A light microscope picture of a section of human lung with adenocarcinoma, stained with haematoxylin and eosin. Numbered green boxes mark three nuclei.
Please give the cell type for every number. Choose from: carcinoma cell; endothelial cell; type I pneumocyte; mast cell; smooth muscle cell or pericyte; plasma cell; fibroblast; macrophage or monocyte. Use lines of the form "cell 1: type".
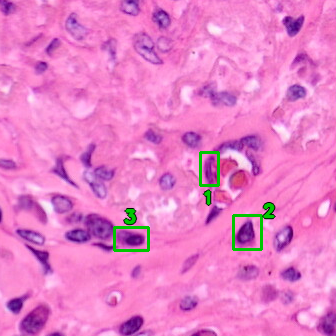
cell 1: endothelial cell
cell 2: plasma cell
cell 3: plasma cell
